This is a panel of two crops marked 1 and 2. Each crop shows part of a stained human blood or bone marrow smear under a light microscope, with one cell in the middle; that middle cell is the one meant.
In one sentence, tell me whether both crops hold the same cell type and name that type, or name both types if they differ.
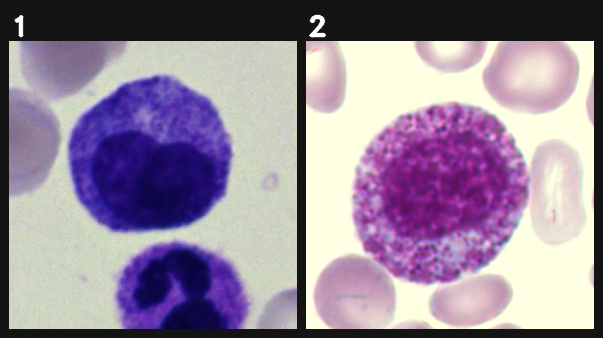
No, crop 1 contains a metamyelocyte, while crop 2 contains a myelocyte.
